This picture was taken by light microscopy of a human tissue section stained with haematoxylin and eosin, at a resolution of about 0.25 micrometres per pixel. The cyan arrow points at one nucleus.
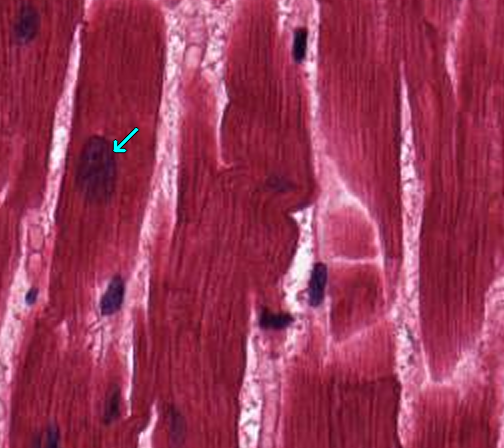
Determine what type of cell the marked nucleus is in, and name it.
cardiomyocyte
